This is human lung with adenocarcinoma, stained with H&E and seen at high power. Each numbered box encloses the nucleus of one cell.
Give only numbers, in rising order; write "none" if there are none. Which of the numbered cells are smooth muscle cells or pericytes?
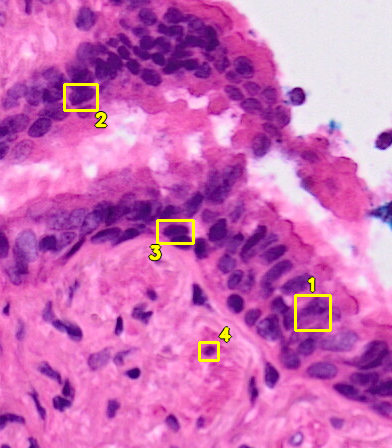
4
